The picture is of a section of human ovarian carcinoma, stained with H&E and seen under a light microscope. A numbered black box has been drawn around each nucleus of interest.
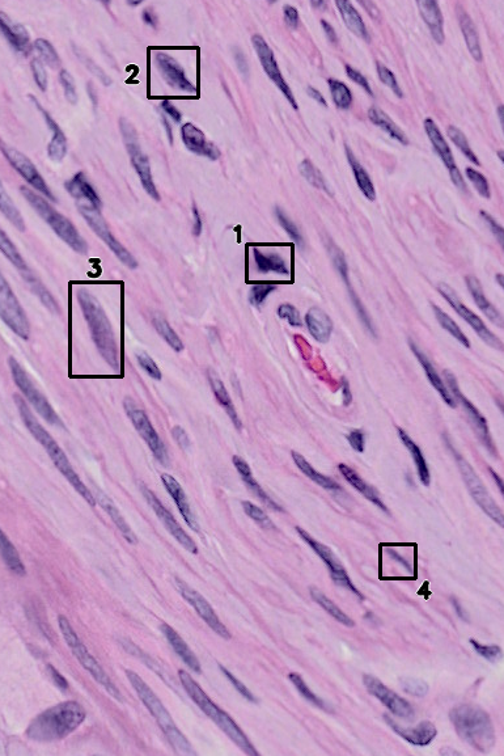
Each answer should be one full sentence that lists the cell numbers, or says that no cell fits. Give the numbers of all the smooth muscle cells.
Identification: the cells with numbers 3 and 4 are smooth muscle cells.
